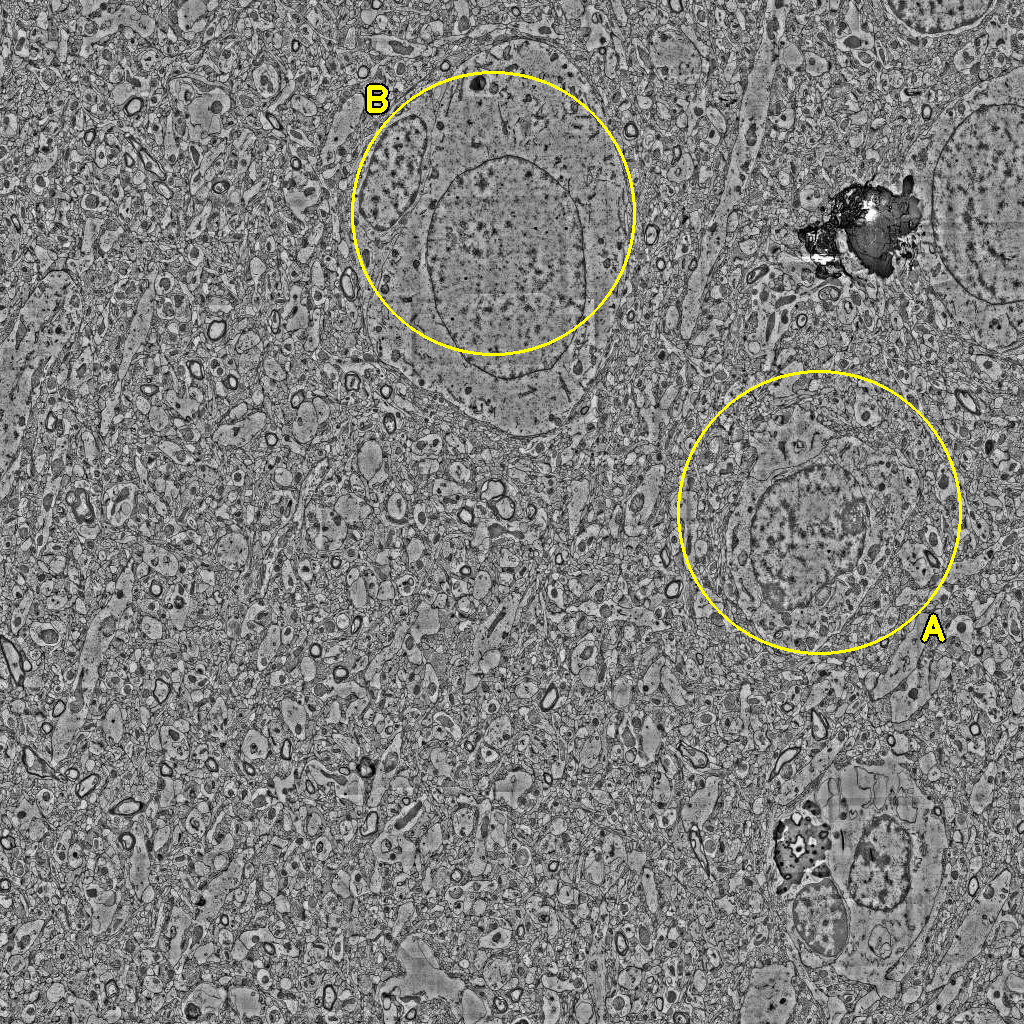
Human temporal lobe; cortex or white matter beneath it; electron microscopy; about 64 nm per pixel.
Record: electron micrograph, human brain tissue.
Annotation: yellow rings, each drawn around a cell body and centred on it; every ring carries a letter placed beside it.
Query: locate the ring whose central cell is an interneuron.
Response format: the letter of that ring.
A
